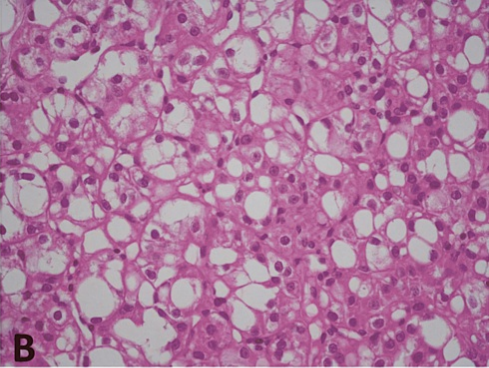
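Tumor cells are arranged in a solid sheet, each with abundant pink, eosinophilic cytoplasm riddled with clear intracytoplasmic vacuoles of varying size, some large enough to fill much of the cell. Cell borders are marked by thin pink cytoplasmic strands that give the sheet a net-like, bubbly appearance. Nuclei are small, round and fairly uniform, dark purple, often placed at the edge of the cell beside the vacuoles. No glands or distinct stroma are seen within the field.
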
